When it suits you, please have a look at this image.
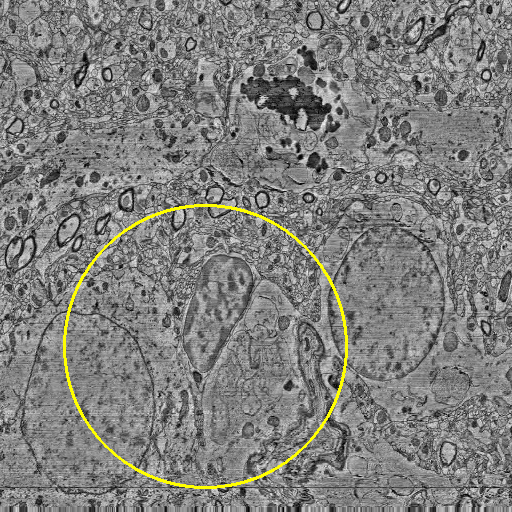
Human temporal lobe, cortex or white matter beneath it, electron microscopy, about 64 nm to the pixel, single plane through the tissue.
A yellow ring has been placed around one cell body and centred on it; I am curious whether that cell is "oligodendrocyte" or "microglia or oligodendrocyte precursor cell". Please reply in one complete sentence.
The ringed cell, a microglial cell or oligodendrocyte precursor cell, has its body at the centre of the yellow ring.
